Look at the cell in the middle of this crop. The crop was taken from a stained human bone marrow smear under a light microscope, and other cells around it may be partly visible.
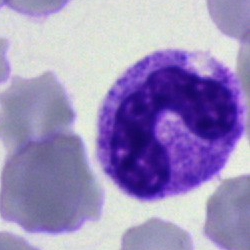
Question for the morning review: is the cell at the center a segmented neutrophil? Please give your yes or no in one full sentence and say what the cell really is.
No, mark the middle cell as a band neutrophil, not a segmented neutrophil.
